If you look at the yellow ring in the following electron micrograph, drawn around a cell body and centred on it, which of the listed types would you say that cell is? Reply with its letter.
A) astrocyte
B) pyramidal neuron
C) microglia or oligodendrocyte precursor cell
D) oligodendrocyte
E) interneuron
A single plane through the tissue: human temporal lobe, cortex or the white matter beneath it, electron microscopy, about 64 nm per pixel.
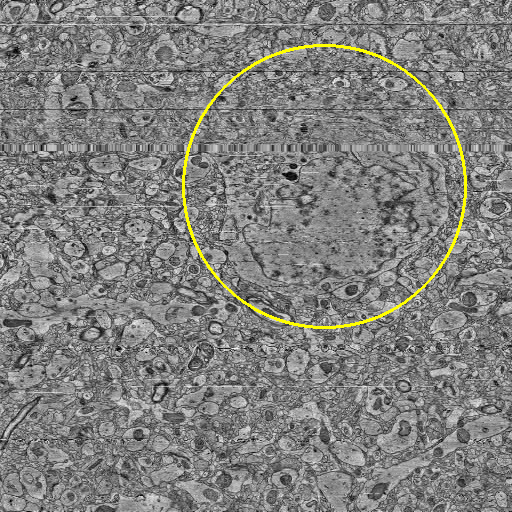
E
